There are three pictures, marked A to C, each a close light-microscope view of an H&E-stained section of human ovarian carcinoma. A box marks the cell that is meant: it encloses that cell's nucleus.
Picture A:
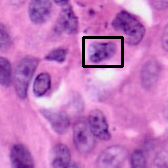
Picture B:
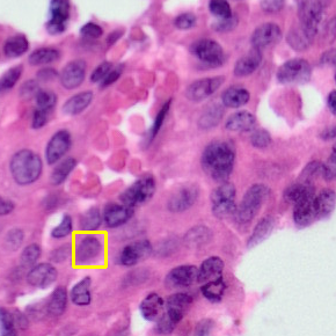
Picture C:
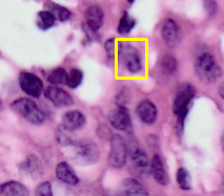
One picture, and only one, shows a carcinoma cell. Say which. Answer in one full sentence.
The carcinoma cell is the one in picture B.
